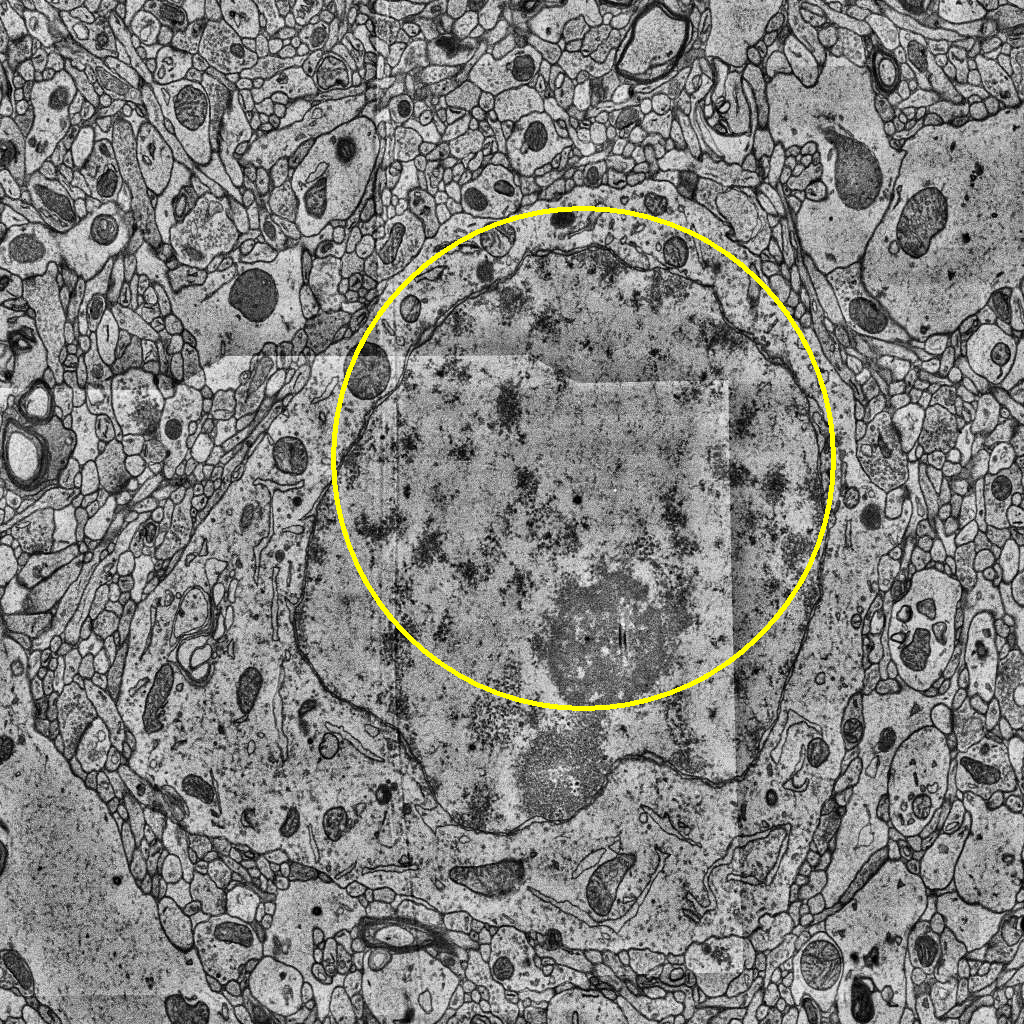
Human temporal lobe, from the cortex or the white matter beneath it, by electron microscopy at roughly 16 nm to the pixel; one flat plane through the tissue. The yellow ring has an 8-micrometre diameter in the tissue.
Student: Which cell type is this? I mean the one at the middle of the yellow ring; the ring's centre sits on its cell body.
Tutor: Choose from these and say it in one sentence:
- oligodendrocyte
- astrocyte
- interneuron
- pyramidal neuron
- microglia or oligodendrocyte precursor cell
The cell at the ring's centre is an interneuron.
